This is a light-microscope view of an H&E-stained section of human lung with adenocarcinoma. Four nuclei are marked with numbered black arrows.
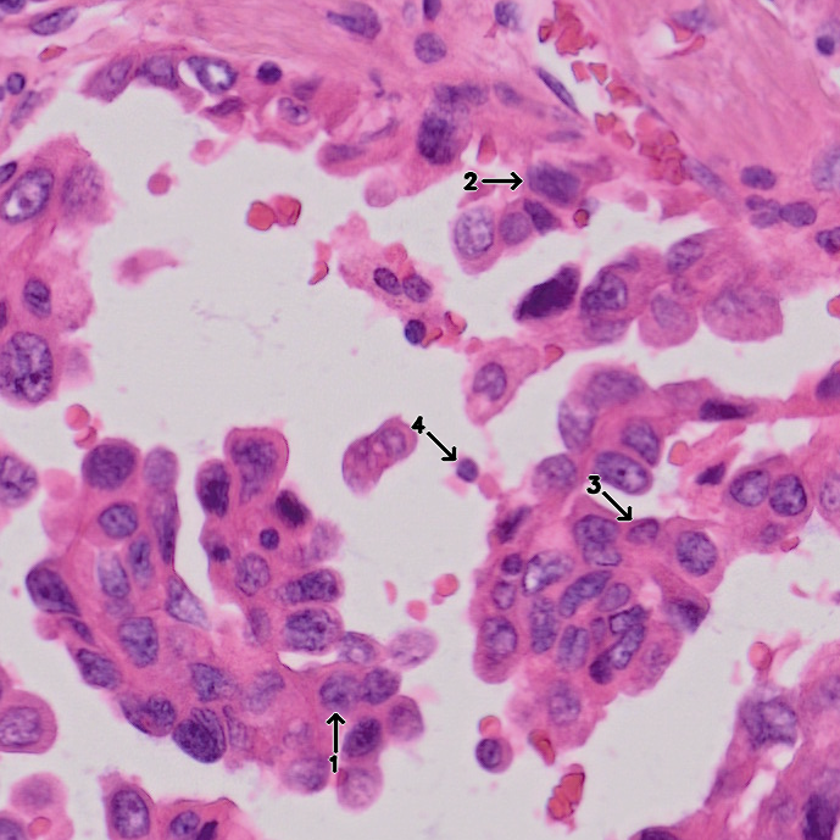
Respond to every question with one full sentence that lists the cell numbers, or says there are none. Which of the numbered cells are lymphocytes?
Of all the numbered cells, only one is a lymphocyte, and that is cell 4.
